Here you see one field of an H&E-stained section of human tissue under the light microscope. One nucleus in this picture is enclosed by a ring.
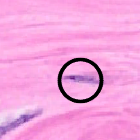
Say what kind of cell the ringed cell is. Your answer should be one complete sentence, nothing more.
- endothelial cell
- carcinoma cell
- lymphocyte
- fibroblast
Considered by cell type, the ringed cell is a fibroblast.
